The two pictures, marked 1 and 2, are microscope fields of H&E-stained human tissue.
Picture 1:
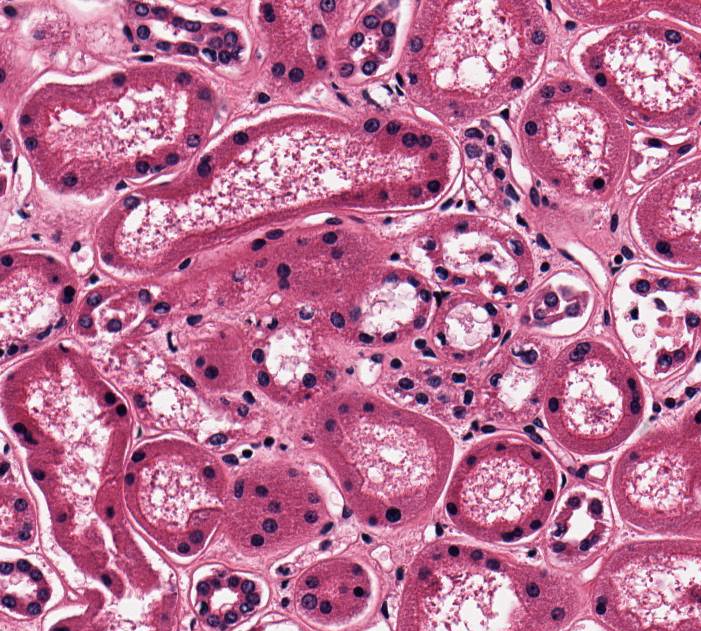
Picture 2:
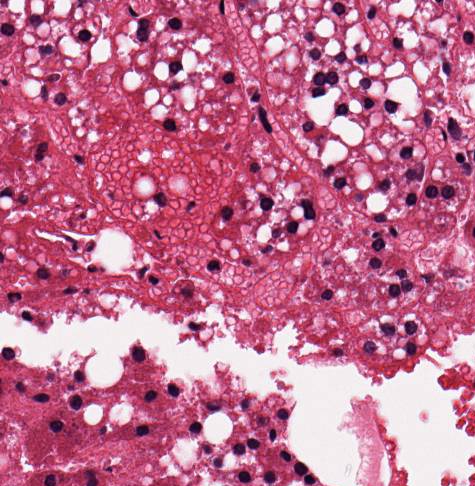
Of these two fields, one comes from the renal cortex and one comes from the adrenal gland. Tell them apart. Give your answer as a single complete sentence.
Picture 1 comes from the renal cortex and picture 2 comes from the adrenal gland.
